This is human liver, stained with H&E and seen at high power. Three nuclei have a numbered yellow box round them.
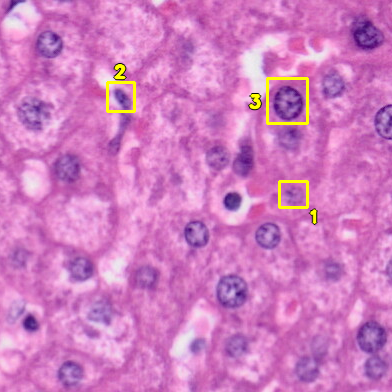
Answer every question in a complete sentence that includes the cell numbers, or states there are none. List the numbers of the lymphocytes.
Cell 2 is a lymphocyte and is the only numbered cell of that kind.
